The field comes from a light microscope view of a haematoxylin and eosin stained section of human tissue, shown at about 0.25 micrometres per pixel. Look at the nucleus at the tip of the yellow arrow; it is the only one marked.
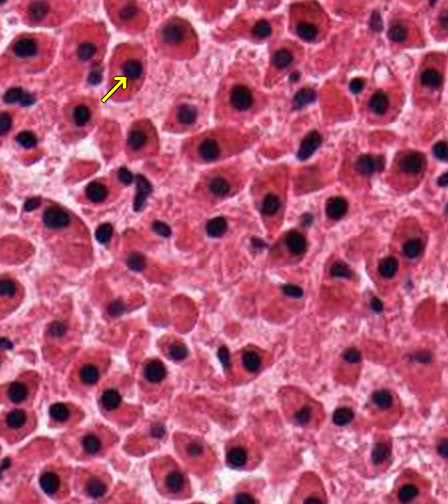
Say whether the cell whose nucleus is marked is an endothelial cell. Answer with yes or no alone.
no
